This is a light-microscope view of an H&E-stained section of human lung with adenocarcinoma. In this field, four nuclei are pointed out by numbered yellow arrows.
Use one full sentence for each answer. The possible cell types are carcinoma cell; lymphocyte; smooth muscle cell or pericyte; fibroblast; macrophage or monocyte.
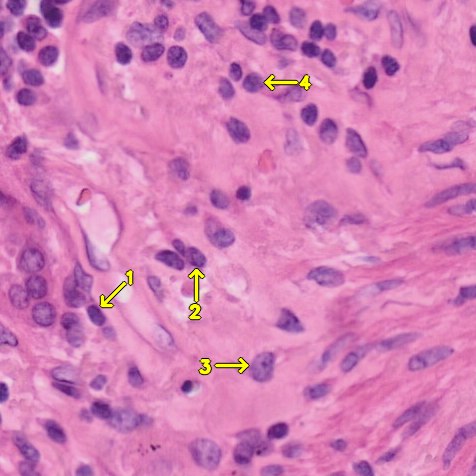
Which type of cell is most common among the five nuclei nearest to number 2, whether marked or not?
Of the five nuclei nearest to number 2, most belong to fibroblasts.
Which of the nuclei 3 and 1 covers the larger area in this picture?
Nucleus 3 is the larger one, covering about 2 times the area of nucleus 1.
